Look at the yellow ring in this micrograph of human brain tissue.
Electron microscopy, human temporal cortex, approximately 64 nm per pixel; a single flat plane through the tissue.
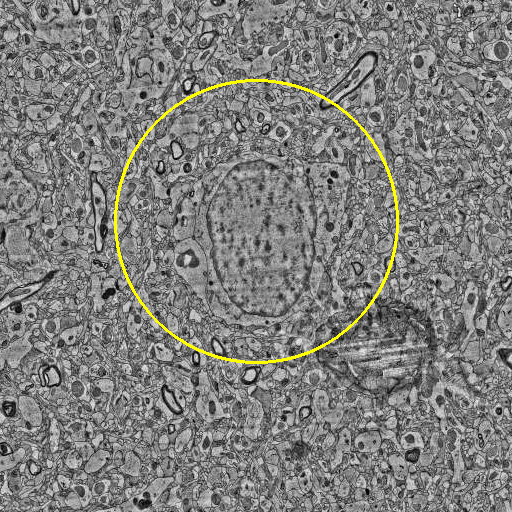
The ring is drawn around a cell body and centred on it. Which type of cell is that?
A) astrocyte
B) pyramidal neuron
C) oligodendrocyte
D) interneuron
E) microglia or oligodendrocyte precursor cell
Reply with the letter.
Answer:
D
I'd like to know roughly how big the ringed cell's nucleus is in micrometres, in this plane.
In this plane the nucleus measures roughly 10 by 7 micrometers.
